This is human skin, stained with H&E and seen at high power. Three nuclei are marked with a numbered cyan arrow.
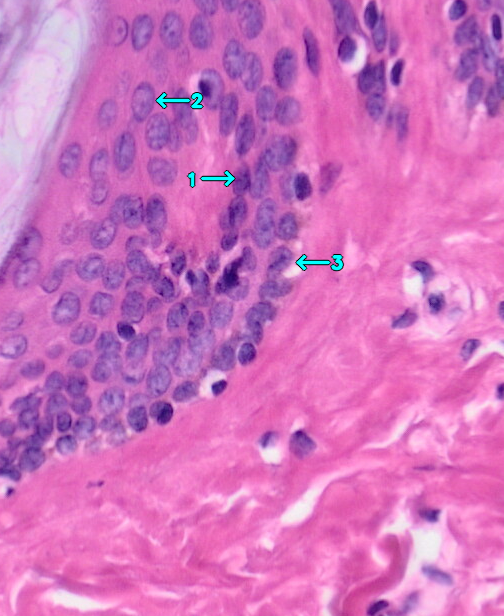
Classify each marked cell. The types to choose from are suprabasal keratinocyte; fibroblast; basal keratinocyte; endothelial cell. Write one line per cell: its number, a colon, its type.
1: basal keratinocyte
2: suprabasal keratinocyte
3: basal keratinocyte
